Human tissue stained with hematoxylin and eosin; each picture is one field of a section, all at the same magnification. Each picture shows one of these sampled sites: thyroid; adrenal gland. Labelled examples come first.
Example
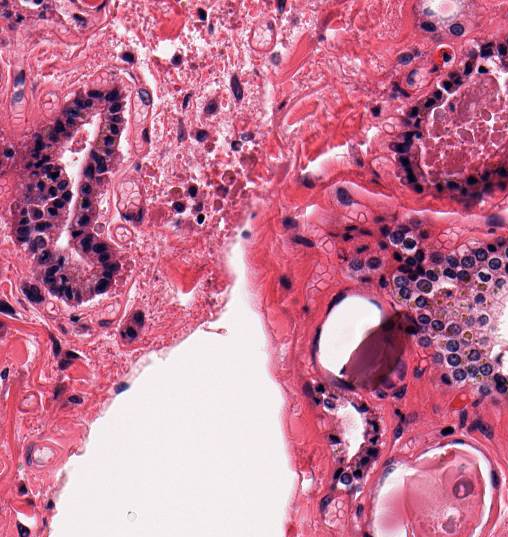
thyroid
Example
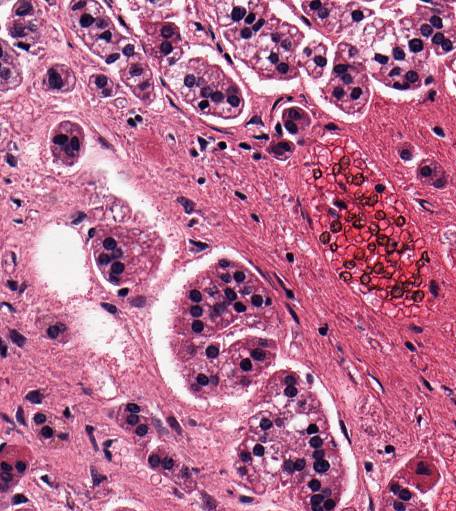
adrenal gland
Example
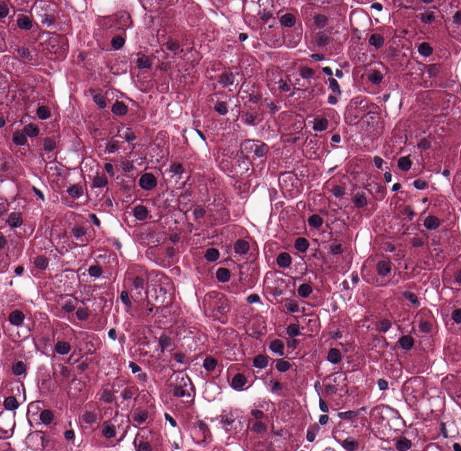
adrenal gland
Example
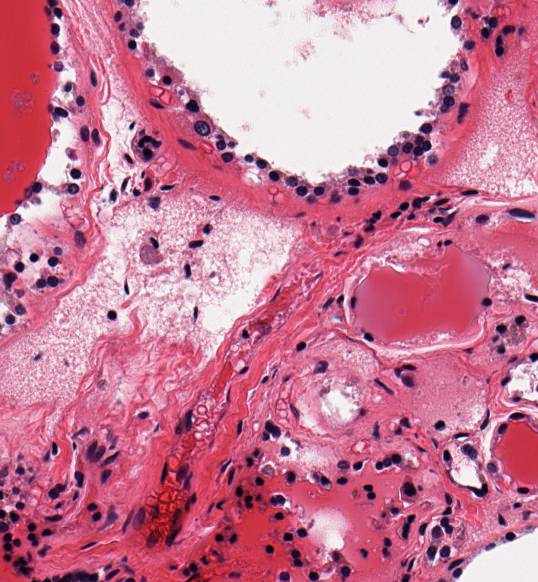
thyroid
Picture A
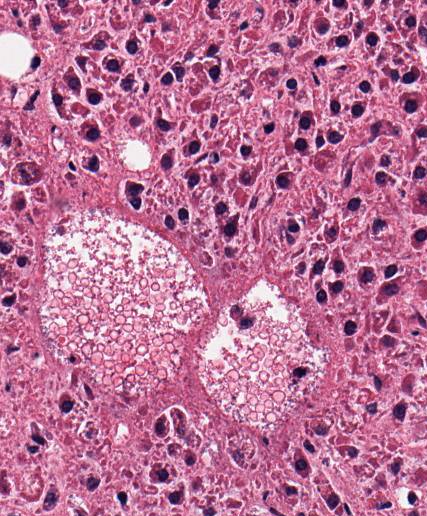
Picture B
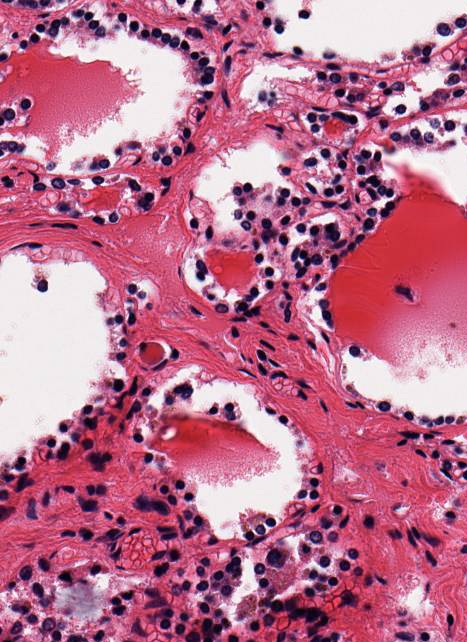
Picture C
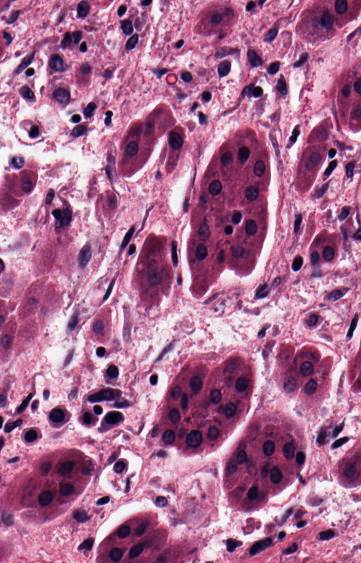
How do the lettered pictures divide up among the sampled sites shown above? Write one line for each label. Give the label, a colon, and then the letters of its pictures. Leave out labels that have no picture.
thyroid: B
adrenal gland: A, C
